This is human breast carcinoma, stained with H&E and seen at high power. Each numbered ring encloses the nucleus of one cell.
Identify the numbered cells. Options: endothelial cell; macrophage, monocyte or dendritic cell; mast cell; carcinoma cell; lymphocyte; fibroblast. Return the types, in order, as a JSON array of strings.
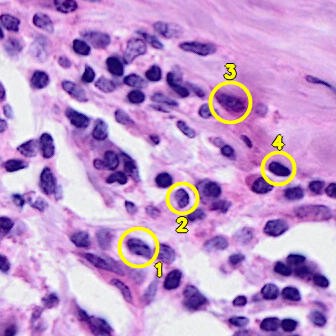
["lymphocyte", "lymphocyte", "mast cell", "lymphocyte"]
